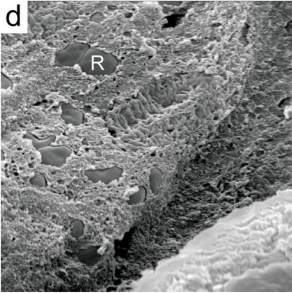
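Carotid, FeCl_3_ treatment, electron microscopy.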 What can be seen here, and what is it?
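This is a view into a thrombus that fills the artery. Most of the field is a dense, spongy, finely porous mass made of tightly packed platelets, giving a granular, crumbly texture. Embedded here and there within this mass are red blood cells, recognisable as smooth, darker oval discs, caught inside the clot rather than floating freely. Toward one side the wall of the vessel shows as a smoother band beside the thrombus.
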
